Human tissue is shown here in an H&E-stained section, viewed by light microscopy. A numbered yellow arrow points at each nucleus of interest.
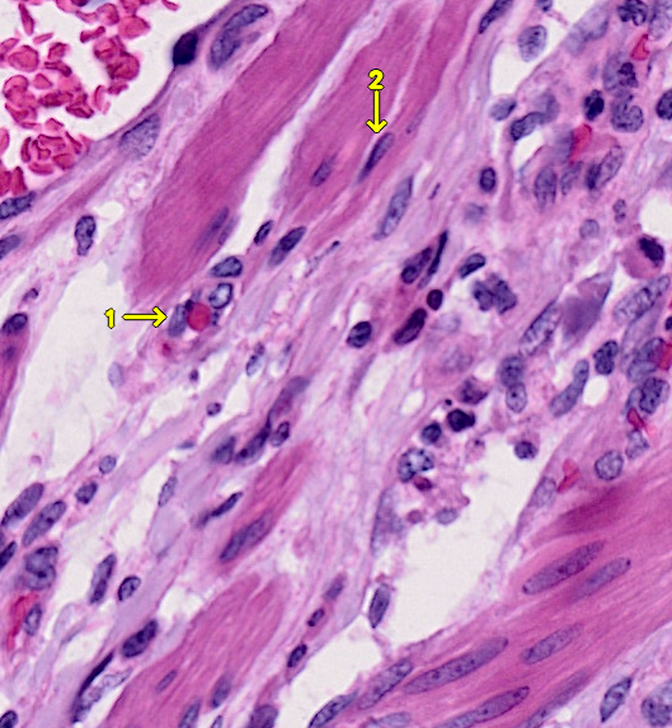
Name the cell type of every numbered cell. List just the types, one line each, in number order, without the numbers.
endothelial cell
smooth muscle cell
